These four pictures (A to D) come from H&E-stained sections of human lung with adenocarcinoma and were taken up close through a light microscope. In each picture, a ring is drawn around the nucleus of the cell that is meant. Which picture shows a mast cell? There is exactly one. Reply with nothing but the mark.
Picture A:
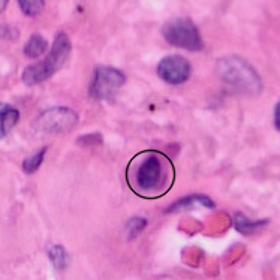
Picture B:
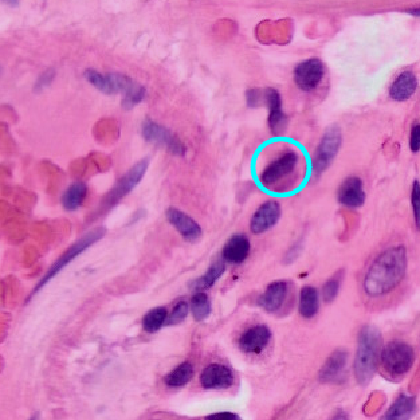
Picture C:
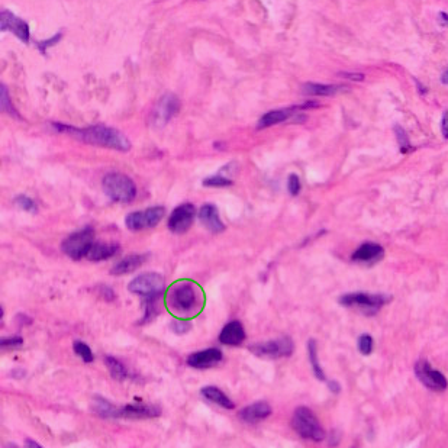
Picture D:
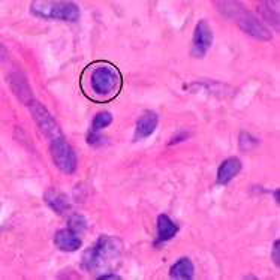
D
